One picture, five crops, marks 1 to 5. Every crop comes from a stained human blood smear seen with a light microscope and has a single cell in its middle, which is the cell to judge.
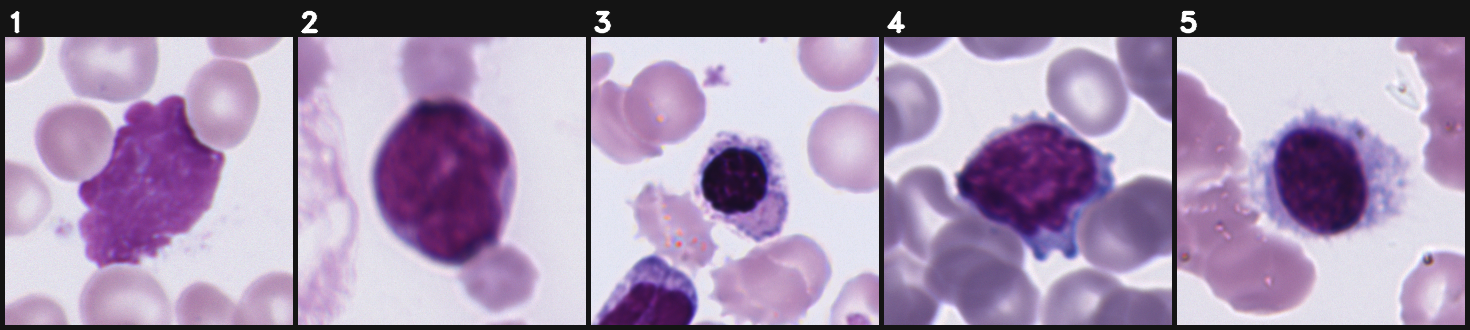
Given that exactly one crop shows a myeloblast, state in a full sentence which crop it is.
It is crop 2 that shows a myeloblast.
